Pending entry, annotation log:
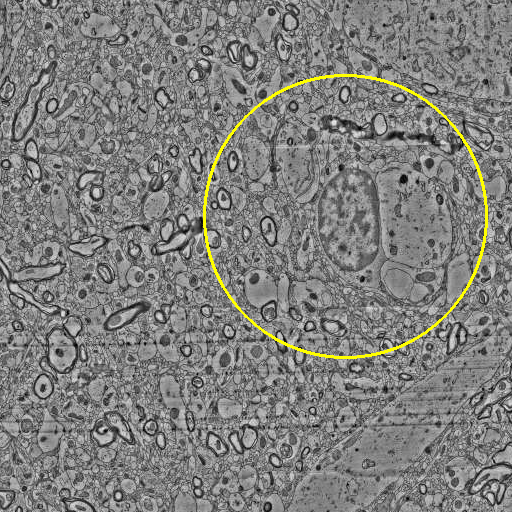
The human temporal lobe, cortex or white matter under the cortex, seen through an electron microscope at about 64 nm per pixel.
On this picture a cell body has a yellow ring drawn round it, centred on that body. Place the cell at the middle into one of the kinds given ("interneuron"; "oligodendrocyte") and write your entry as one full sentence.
The cell body at the middle of the yellow ring belongs to an oligodendrocyte.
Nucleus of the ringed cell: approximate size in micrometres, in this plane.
About 6 by 4 micrometres, the nucleus being clearly longer than it is wide in this plane.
